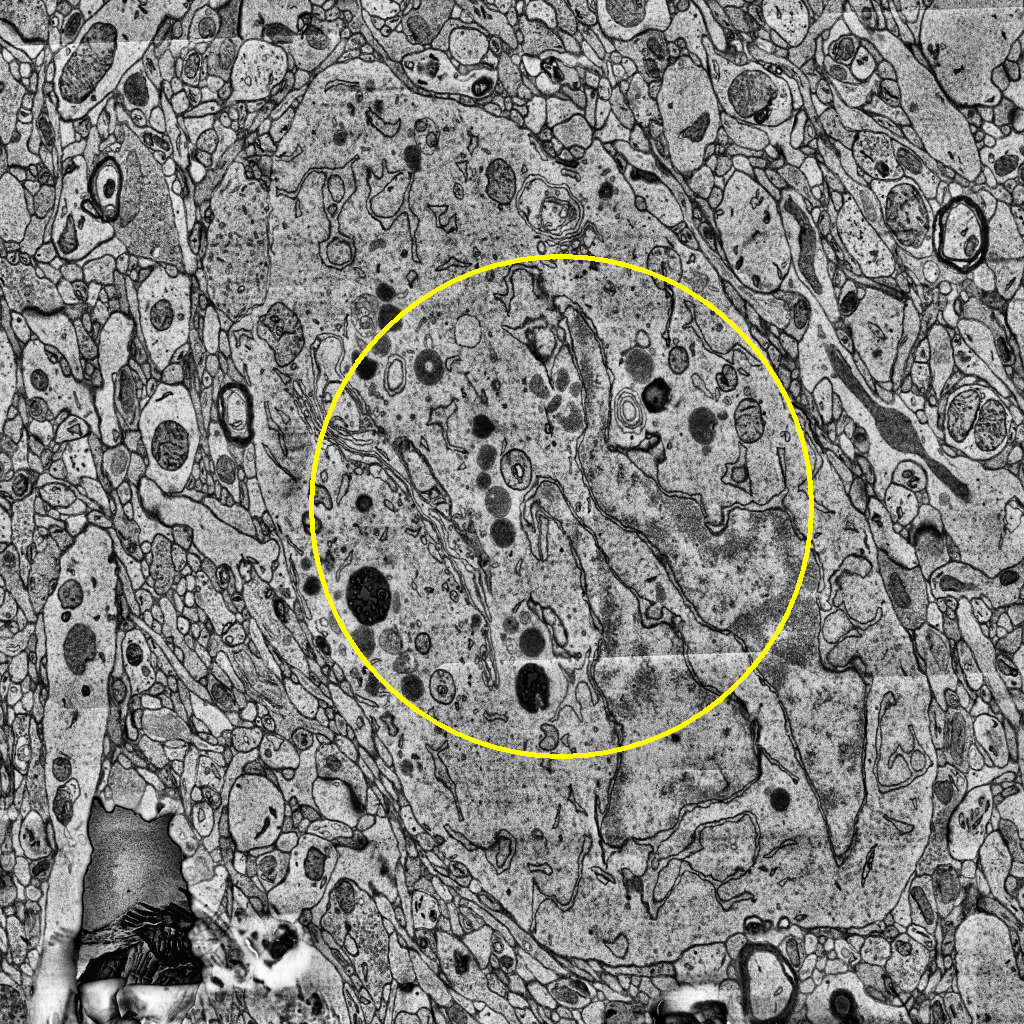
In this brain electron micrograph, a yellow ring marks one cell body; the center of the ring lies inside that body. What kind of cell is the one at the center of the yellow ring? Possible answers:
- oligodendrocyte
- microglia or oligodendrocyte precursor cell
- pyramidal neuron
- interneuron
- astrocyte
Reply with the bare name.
interneuron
